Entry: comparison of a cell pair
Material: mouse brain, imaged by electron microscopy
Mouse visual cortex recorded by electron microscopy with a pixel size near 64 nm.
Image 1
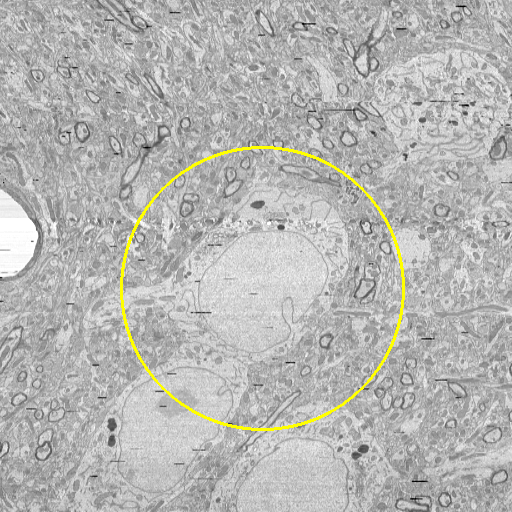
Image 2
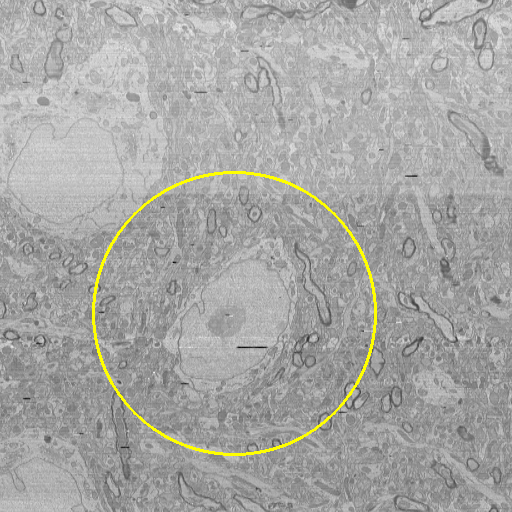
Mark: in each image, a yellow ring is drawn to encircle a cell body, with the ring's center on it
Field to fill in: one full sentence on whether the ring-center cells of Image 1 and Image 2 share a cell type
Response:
No, Image 1 and Image 2 show ring-center cells of two separate types.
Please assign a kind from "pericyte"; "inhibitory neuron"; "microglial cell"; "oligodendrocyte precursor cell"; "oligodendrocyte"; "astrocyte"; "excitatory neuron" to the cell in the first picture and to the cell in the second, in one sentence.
In the first picture we have an excitatory neuron, and in the second, an inhibitory neuron.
